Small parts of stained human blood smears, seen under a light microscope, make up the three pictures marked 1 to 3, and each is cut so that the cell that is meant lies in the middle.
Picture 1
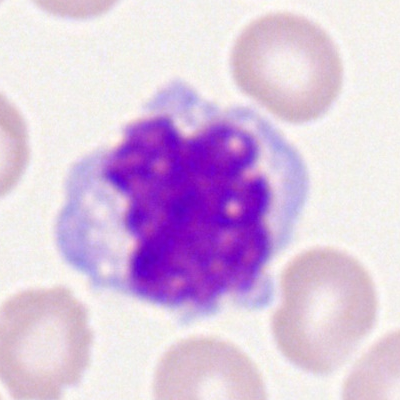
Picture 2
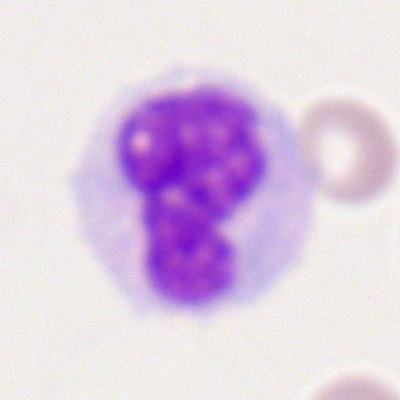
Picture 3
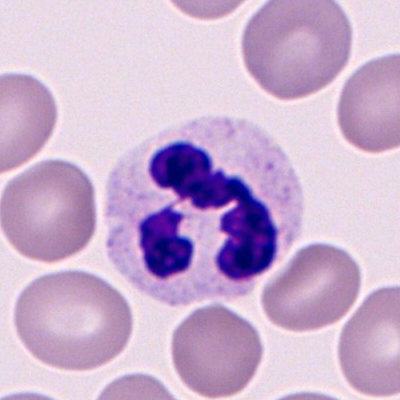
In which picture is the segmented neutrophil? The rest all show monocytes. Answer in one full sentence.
The picture with the segmented neutrophil is 3.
